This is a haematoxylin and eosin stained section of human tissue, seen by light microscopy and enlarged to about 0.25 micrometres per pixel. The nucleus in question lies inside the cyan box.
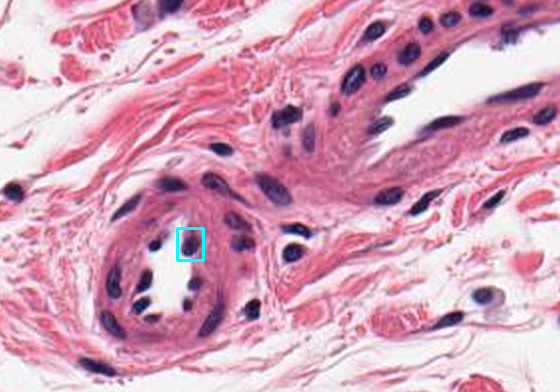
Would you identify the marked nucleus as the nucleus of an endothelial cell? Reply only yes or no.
yes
